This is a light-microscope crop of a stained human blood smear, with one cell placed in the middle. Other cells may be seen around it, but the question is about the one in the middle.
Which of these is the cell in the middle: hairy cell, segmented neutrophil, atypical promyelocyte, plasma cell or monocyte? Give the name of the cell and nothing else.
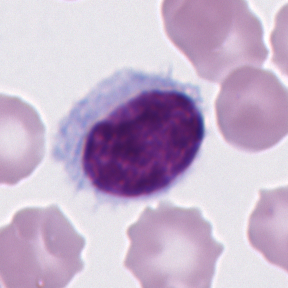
hairy cell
